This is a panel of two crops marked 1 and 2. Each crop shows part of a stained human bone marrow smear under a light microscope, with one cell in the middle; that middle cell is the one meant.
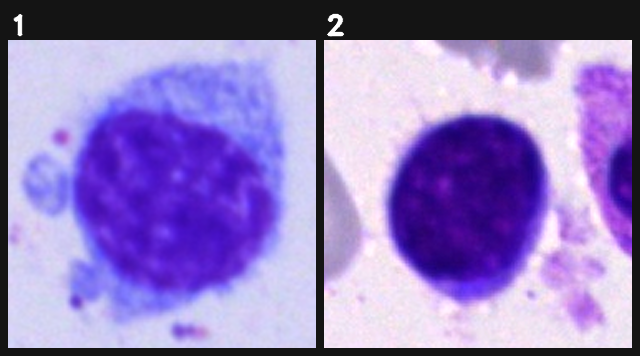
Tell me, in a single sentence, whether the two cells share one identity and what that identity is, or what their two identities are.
Yes, the centre cells of both crops are lymphocytes.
